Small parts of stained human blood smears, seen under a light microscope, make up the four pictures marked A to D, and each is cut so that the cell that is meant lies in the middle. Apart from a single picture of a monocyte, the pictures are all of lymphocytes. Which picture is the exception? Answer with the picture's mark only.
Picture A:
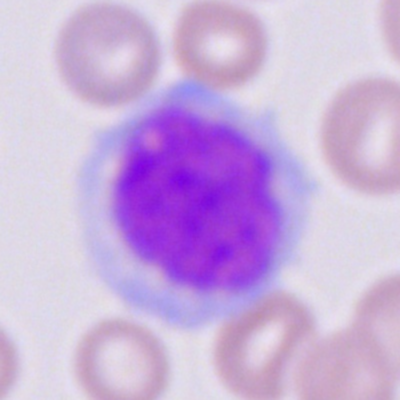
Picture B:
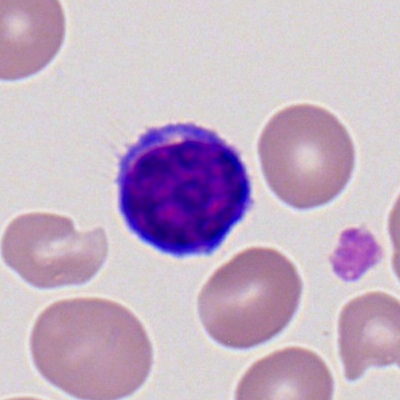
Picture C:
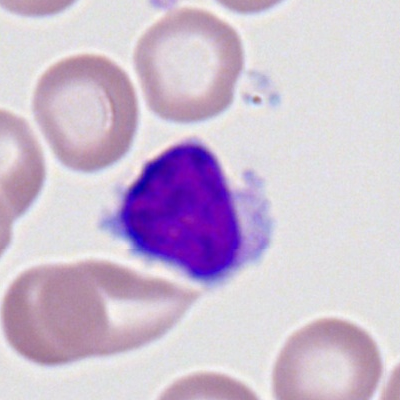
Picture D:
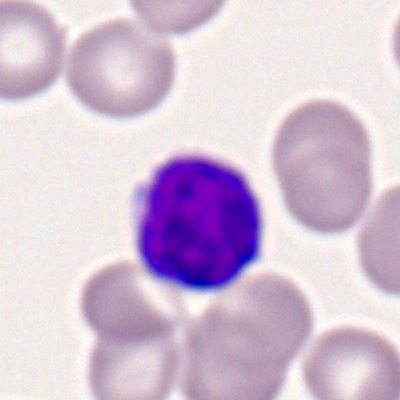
A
